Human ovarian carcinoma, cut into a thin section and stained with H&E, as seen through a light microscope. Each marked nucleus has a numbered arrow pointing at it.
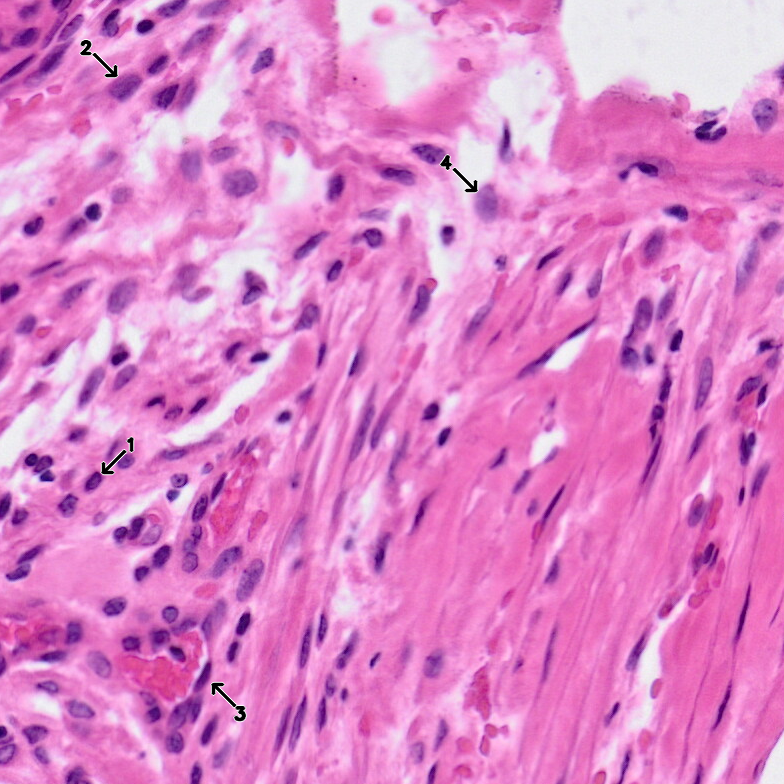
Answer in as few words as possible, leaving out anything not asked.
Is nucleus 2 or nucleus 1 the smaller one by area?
1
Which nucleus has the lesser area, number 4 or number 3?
3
